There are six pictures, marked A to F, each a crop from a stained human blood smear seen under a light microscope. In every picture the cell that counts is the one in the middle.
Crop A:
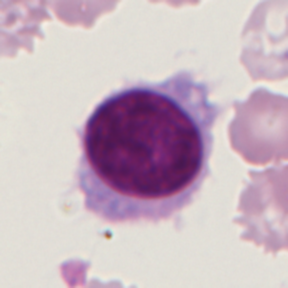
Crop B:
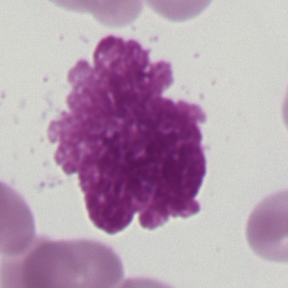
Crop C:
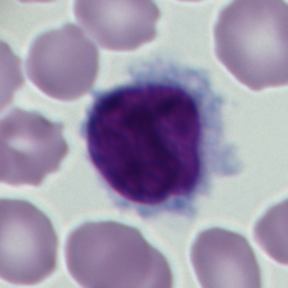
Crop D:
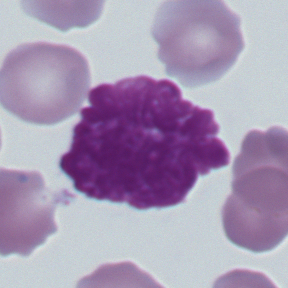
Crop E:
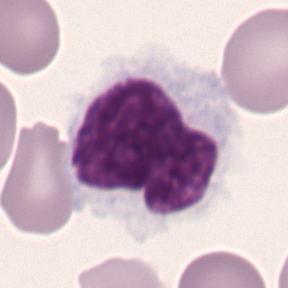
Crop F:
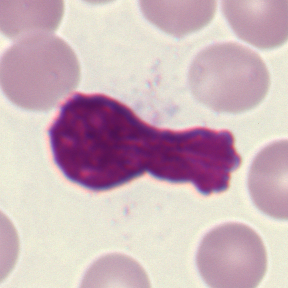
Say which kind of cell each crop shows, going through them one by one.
A: hairy cell
B: smudge cell
C: hairy cell
D: smudge cell
E: hairy cell
F: smudge cell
